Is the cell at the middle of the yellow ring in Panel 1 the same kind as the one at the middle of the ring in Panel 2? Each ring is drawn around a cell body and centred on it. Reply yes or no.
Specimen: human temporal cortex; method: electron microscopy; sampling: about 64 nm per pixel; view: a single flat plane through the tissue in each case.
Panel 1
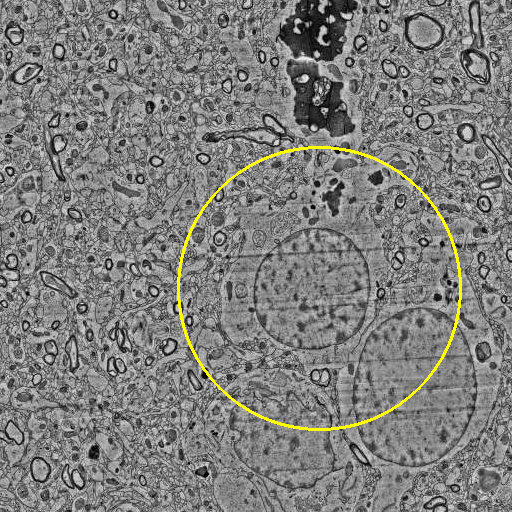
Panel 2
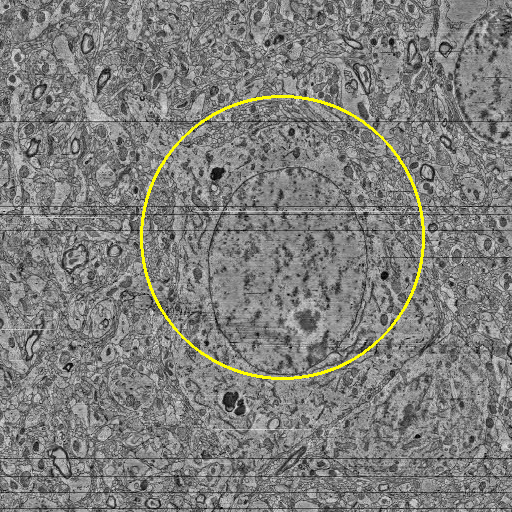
no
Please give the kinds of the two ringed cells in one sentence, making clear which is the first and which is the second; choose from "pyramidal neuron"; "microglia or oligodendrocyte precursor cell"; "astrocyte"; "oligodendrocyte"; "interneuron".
In the second picture the ringed cell is a pyramidal neuron; in the first it is an astrocyte.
